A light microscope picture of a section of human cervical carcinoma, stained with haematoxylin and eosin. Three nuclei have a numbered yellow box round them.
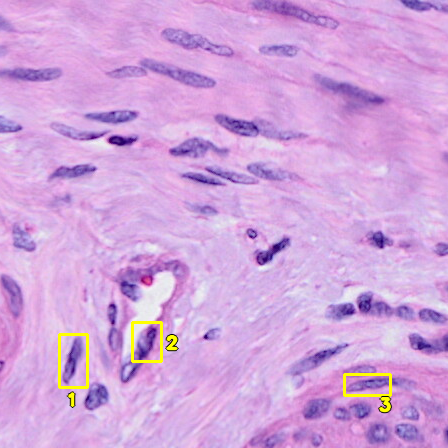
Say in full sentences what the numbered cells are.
Cell 1 is a fibroblast. Cell 2 is an endothelial cell. Cell 3 is a smooth muscle cell.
